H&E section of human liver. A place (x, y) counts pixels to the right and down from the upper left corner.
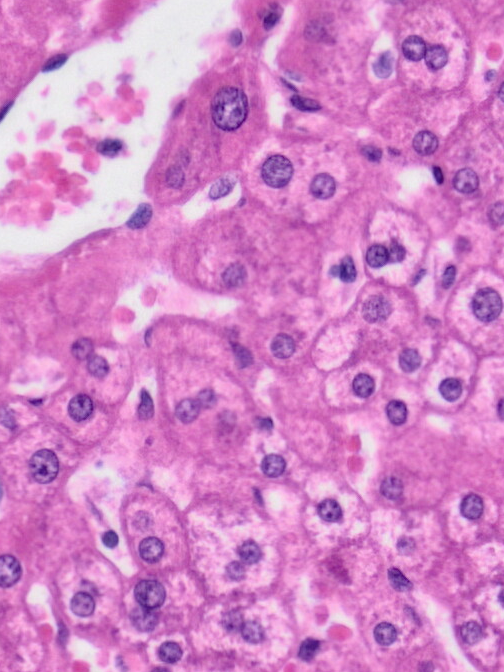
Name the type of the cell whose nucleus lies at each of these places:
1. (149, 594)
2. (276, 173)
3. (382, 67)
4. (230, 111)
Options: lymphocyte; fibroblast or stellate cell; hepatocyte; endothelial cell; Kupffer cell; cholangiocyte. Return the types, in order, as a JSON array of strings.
["hepatocyte", "hepatocyte", "endothelial cell", "hepatocyte"]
